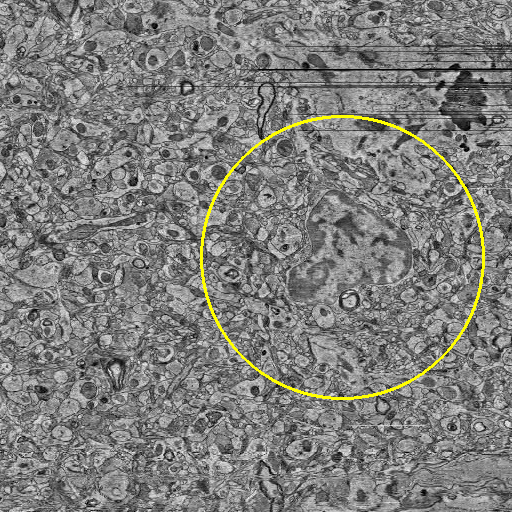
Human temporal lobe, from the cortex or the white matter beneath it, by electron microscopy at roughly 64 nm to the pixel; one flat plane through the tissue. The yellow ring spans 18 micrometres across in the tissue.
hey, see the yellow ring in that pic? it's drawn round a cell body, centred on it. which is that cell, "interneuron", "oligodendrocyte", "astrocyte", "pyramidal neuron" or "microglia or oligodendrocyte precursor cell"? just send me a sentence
The cell in the ring is a microglial cell or oligodendrocyte precursor cell.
